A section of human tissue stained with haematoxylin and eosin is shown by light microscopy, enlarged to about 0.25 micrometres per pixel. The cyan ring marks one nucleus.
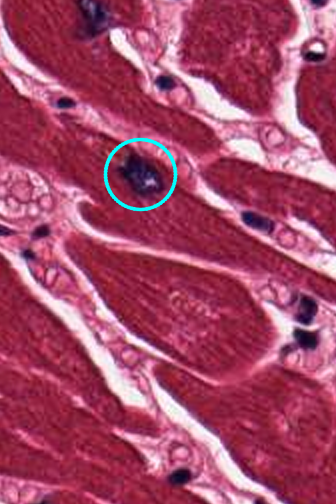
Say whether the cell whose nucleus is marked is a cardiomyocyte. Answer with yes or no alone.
yes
